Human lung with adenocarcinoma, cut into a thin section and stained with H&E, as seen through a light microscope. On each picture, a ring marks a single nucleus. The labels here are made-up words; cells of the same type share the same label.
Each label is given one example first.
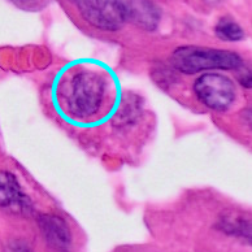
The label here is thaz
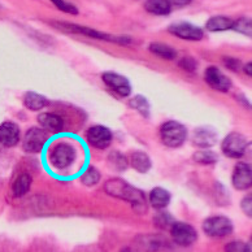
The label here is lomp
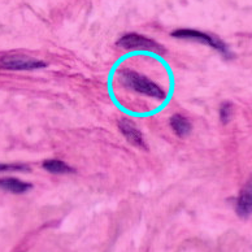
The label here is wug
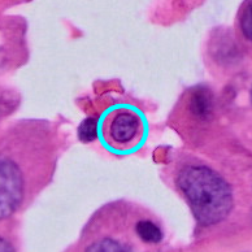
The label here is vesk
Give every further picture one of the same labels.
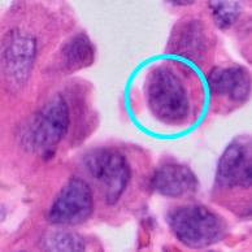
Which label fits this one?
thaz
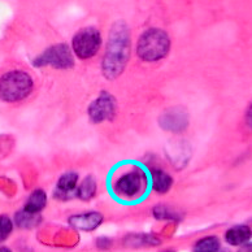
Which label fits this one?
lomp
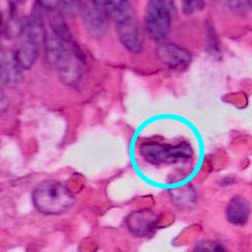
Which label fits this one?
vesk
